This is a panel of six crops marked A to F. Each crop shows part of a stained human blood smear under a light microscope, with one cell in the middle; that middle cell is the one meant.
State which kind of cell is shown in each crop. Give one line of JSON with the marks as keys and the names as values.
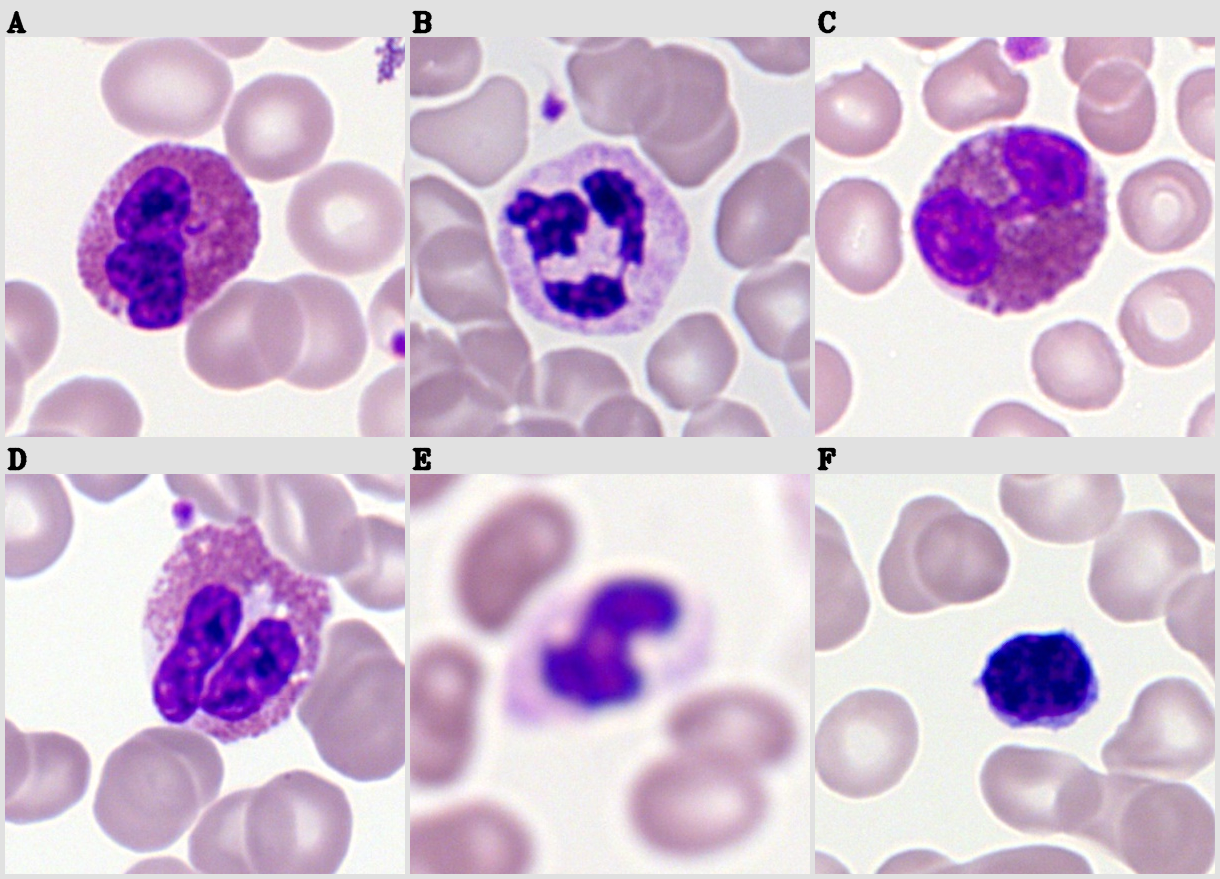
{"A": "eosinophil", "B": "segmented neutrophil", "C": "eosinophil", "D": "eosinophil", "E": "segmented neutrophil", "F": "lymphocyte"}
